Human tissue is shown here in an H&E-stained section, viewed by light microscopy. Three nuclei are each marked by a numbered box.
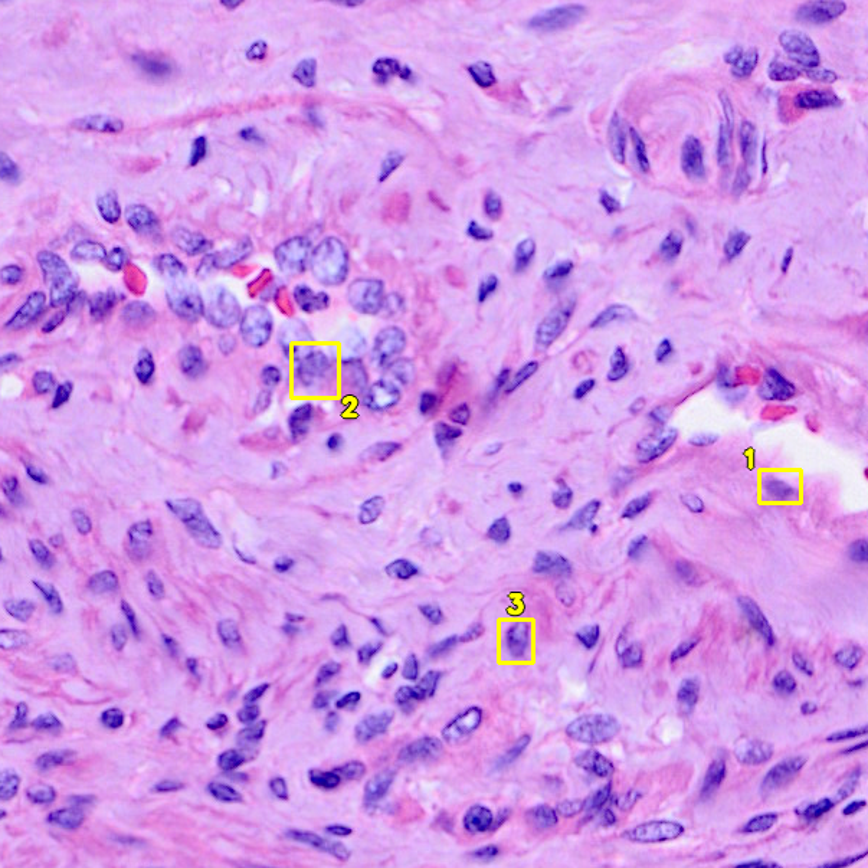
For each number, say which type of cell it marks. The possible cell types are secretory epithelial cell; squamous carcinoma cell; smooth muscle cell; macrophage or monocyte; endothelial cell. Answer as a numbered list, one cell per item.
1. endothelial cell
2. endothelial cell
3. smooth muscle cell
